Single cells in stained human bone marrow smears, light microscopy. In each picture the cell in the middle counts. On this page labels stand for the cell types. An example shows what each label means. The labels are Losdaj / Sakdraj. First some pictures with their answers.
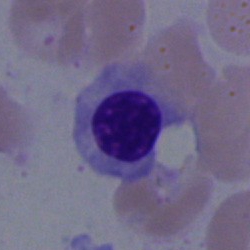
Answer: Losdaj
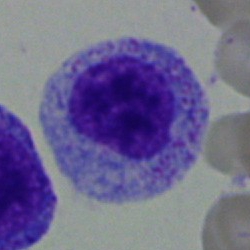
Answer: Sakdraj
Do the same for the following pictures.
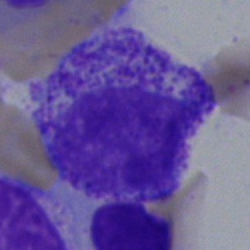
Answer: Sakdraj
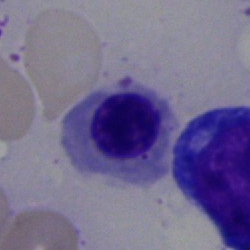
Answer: Losdaj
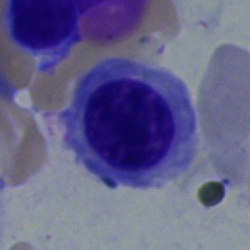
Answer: Losdaj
